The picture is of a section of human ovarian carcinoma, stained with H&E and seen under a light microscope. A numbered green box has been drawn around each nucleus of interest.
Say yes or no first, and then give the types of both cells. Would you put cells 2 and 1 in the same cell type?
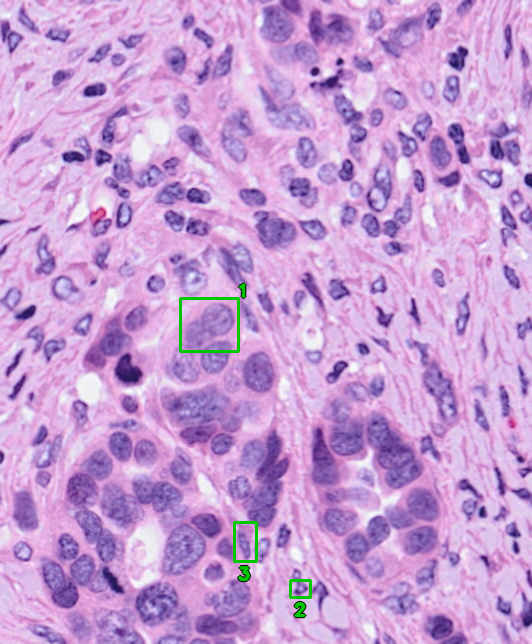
No, cell 2 is identified as a fibroblast, and cell 1 is identified as a carcinoma cell.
